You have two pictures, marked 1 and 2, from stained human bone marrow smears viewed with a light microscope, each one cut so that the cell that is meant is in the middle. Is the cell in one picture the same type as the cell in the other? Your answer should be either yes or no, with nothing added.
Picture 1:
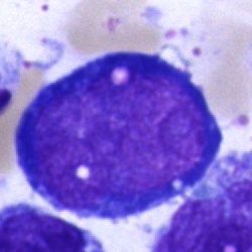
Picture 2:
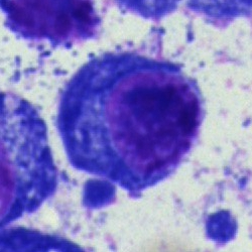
no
